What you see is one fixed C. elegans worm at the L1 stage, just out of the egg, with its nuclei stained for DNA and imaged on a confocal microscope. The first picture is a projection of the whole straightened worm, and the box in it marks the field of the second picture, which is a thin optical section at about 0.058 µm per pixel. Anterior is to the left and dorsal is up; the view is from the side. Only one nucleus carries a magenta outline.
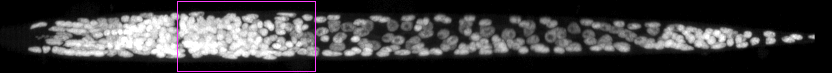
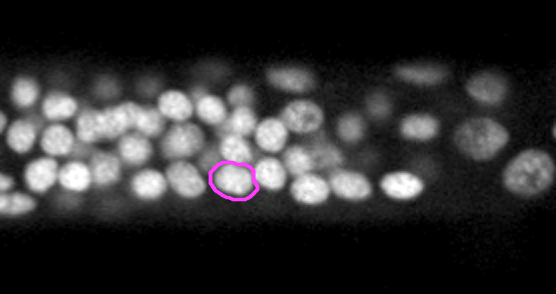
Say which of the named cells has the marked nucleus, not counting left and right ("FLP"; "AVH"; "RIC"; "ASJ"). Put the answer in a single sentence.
It belongs to RIC, a neuron.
